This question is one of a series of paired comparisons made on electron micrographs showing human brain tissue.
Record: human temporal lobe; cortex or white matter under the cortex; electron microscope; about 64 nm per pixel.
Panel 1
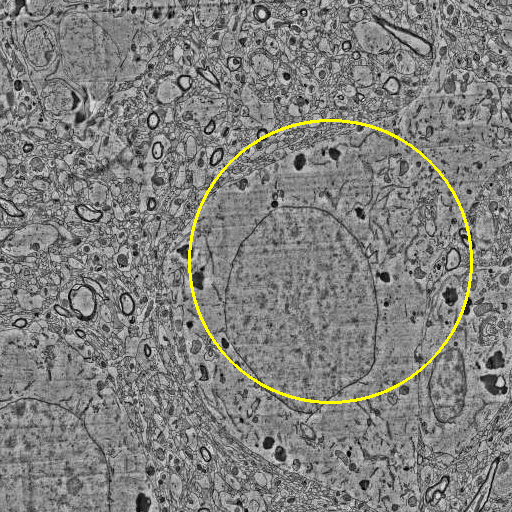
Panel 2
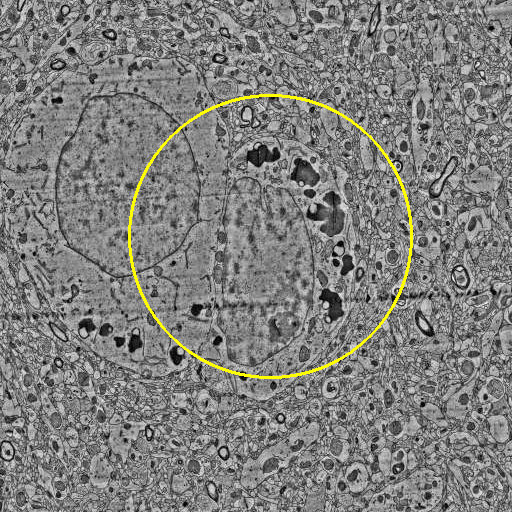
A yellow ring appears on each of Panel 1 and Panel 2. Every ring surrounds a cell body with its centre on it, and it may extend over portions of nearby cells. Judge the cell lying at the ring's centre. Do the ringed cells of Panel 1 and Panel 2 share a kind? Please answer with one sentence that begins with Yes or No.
No, the ring-centre cell in Panel 1 and the one in Panel 2 are of two kinds.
